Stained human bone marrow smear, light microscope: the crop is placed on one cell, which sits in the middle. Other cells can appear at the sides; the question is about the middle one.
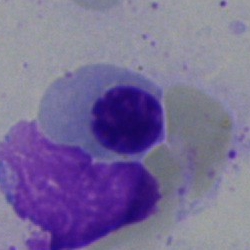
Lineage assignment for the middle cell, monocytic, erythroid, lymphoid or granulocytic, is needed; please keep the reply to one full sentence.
Designated erythroid in lineage is the cell at the center of the crop.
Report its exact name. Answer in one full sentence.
The middle of this crop holds an erythroblast.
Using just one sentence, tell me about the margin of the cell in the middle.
Expected answer: a smooth cell outline without projections of any sort.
